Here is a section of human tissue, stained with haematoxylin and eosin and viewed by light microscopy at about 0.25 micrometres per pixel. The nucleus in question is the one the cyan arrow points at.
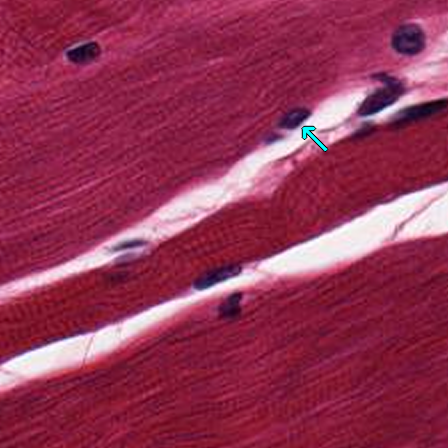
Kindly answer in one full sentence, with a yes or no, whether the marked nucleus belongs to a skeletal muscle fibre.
Yes, the marked nucleus is one belonging to a skeletal muscle fibre.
